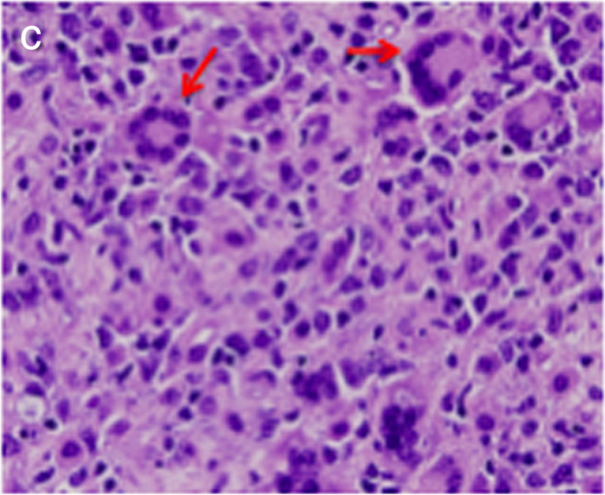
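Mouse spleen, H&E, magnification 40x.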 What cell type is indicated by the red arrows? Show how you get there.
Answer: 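Multinucleate giant cells. The arrowed cells are much larger than the surrounding cells. Each arrowed cell holds several dark purple nuclei clustered within abundant pink cytoplasm.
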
